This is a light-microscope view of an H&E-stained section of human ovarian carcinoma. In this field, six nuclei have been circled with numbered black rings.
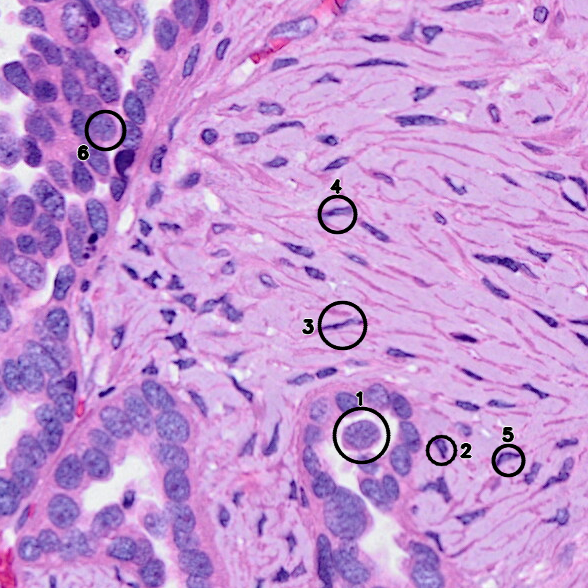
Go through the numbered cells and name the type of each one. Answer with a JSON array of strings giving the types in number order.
["carcinoma cell", "fibroblast", "fibroblast", "fibroblast", "fibroblast", "carcinoma cell"]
